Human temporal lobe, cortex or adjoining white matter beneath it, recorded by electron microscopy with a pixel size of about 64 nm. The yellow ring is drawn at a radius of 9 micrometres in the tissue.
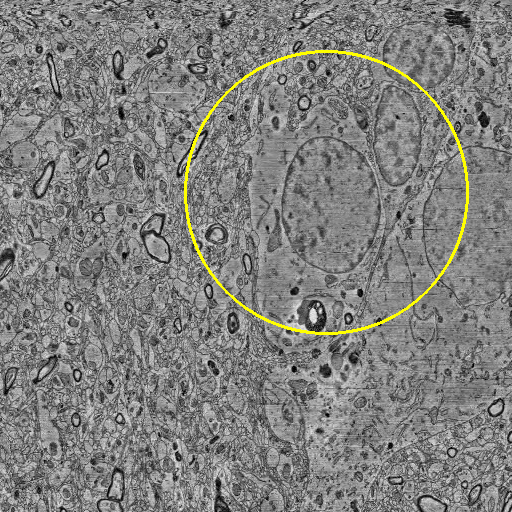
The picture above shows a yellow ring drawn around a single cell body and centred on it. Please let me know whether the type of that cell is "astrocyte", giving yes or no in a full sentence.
Yes, that type fits the cell at the centre of the ring above.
